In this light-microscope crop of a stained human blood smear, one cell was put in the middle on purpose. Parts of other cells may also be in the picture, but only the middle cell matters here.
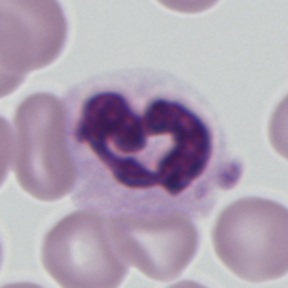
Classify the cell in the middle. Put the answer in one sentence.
On this slide crop, the central cell is a segmented neutrophil.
